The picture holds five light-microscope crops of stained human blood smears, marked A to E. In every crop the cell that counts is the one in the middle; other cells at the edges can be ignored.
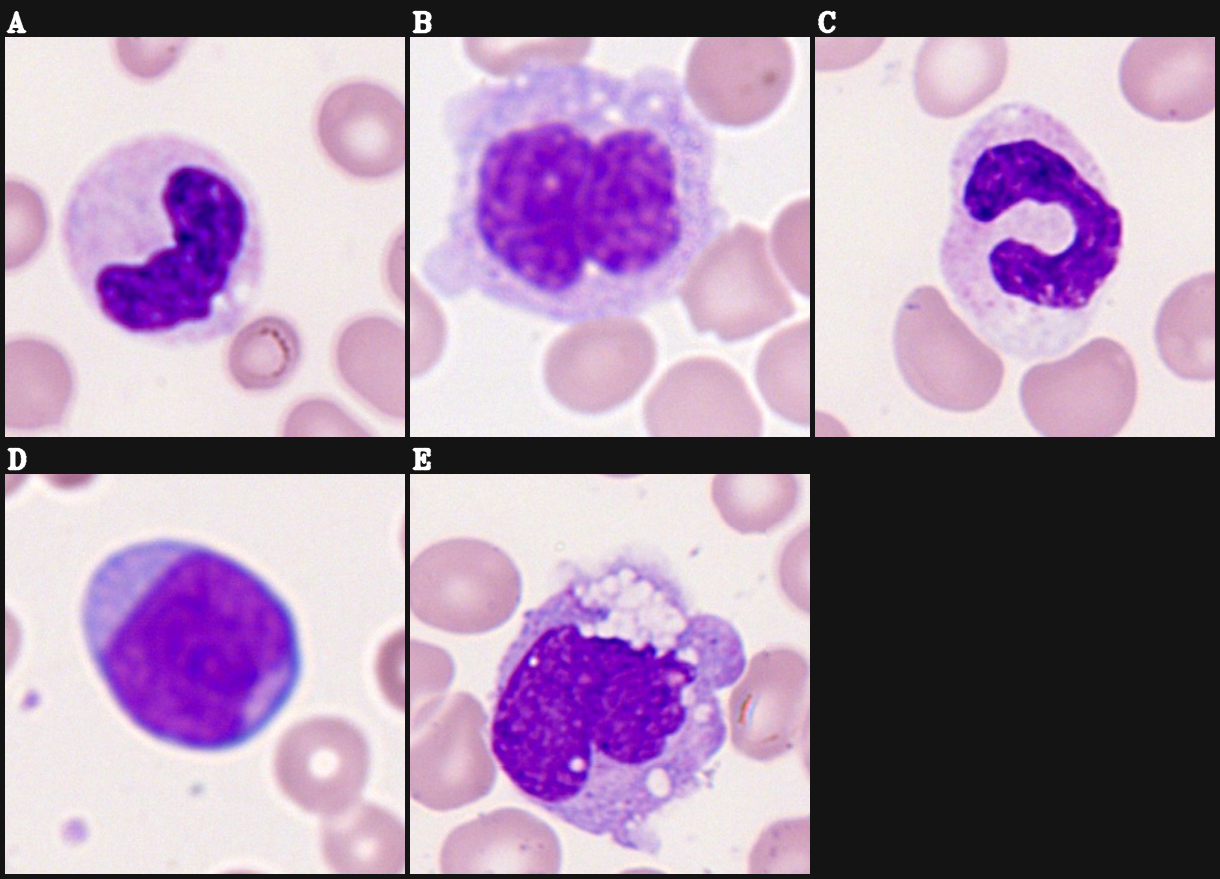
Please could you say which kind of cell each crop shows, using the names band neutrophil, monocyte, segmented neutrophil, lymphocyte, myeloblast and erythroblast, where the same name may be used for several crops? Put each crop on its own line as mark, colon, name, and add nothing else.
A: band neutrophil
B: monocyte
C: band neutrophil
D: myeloblast
E: monocyte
